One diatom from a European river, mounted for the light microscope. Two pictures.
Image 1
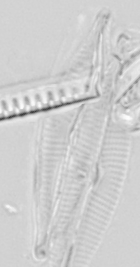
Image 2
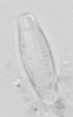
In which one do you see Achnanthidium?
In picture 2.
